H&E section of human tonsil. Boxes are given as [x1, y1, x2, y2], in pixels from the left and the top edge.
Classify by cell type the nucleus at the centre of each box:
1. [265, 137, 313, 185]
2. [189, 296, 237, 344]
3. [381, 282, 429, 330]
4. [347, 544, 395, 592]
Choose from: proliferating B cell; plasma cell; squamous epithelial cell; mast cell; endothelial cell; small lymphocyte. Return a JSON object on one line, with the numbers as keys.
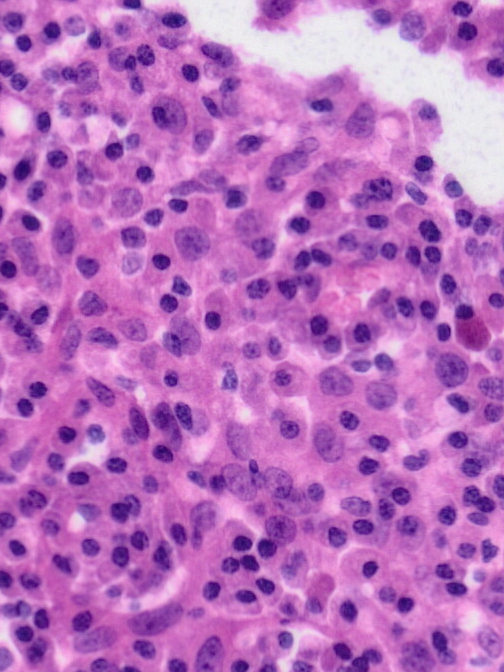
{"1": "squamous epithelial cell", "2": "plasma cell", "3": "plasma cell", "4": "plasma cell"}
